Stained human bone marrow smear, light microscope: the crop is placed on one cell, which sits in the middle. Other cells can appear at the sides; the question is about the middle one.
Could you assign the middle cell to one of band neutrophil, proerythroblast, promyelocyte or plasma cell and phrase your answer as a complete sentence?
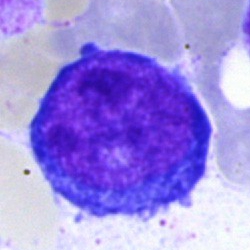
Among the cells in view, the one in the middle is a proerythroblast.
